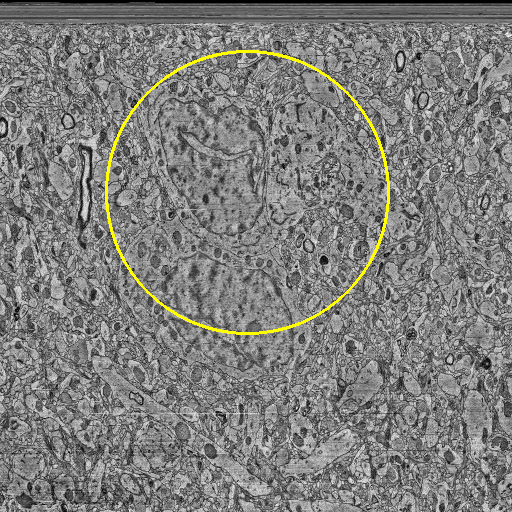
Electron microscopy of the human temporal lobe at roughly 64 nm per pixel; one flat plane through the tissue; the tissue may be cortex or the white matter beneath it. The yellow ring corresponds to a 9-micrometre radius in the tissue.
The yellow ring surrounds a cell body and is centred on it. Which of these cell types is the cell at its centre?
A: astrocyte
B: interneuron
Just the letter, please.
B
